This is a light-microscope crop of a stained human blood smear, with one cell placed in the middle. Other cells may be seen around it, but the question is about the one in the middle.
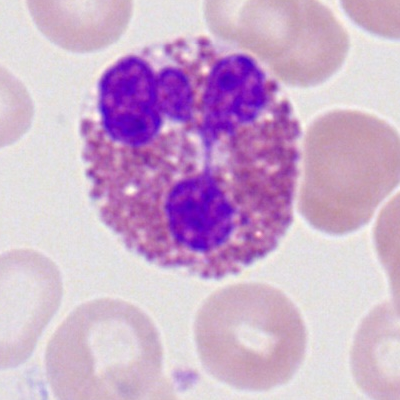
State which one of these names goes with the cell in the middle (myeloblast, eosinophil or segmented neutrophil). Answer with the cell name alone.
eosinophil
